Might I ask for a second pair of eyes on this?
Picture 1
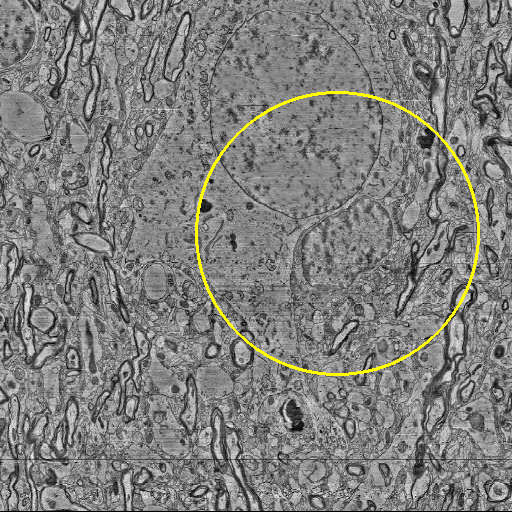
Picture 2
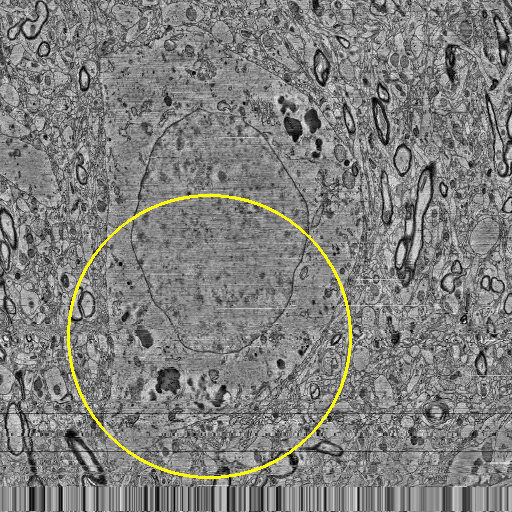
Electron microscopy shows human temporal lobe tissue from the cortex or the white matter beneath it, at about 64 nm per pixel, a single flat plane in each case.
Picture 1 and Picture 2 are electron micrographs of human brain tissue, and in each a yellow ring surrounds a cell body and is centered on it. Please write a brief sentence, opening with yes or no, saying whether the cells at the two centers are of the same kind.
No, the cells are of two kinds.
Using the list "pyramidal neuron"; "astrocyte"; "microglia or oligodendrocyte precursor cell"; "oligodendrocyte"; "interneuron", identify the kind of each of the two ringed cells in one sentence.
The first is an oligodendrocyte and the second is a pyramidal neuron.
